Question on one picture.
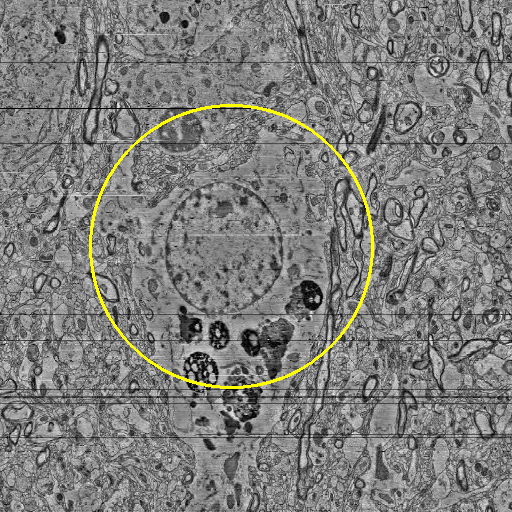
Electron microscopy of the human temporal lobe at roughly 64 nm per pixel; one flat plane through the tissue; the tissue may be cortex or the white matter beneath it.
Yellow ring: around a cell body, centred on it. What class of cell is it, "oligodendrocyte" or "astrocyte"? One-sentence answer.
This is an astrocyte, the cell the ring is centred on.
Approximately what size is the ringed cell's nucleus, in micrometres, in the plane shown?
About 9 by 7 micrometers for the nucleus, in this plane.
